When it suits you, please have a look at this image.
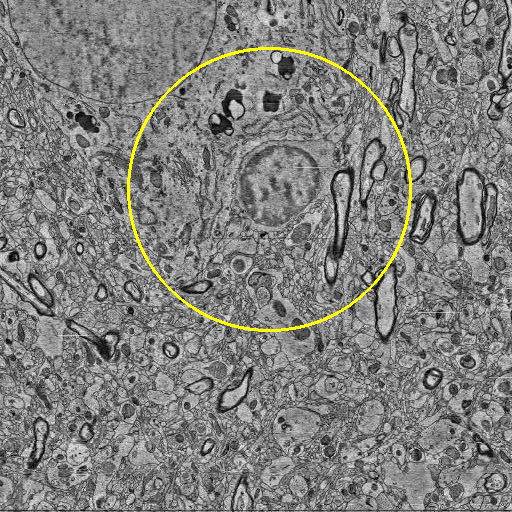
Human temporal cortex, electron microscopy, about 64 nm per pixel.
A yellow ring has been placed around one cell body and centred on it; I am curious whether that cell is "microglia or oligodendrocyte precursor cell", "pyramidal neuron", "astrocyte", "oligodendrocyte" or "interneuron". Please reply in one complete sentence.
The ringed cell, an oligodendrocyte, has its body at the centre of the yellow ring.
